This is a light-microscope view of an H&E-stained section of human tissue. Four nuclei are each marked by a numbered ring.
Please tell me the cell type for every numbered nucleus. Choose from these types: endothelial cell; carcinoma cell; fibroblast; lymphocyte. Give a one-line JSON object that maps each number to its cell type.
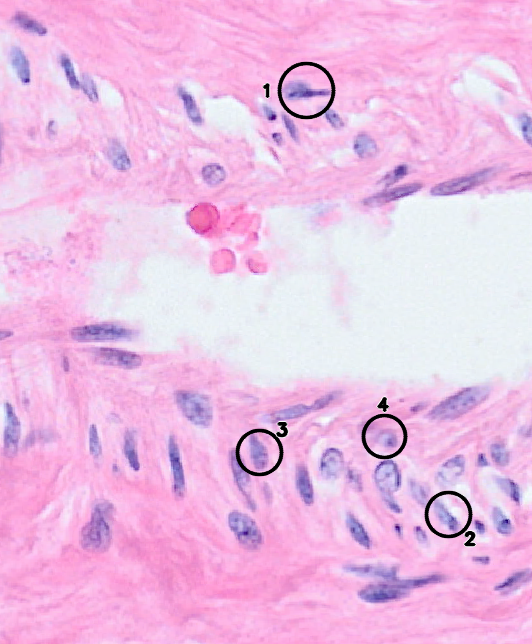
{"1": "fibroblast", "2": "endothelial cell", "3": "endothelial cell", "4": "endothelial cell"}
